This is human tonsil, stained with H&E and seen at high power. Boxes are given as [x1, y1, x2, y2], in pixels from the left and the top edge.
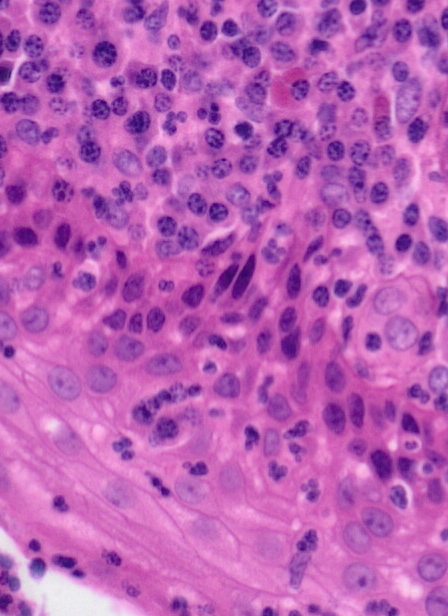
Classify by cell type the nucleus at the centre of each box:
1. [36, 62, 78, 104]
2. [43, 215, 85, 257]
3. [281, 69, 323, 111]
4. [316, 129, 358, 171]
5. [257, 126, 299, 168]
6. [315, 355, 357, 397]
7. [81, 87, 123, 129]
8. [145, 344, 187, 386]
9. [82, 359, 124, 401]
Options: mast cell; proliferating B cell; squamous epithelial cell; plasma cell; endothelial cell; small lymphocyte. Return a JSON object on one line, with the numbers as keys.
{"1": "plasma cell", "2": "squamous epithelial cell", "3": "plasma cell", "4": "plasma cell", "5": "plasma cell", "6": "squamous epithelial cell", "7": "plasma cell", "8": "squamous epithelial cell", "9": "squamous epithelial cell"}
